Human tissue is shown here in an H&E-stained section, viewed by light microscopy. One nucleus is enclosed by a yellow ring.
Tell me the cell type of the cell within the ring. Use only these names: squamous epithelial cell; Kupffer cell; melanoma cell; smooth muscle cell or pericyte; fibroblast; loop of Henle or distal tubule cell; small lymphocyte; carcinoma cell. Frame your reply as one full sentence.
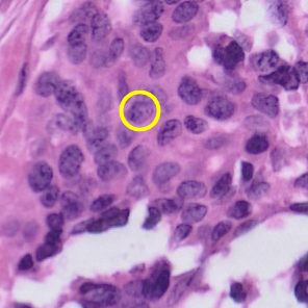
It is as a carcinoma cell that the cell within the ring is recorded.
